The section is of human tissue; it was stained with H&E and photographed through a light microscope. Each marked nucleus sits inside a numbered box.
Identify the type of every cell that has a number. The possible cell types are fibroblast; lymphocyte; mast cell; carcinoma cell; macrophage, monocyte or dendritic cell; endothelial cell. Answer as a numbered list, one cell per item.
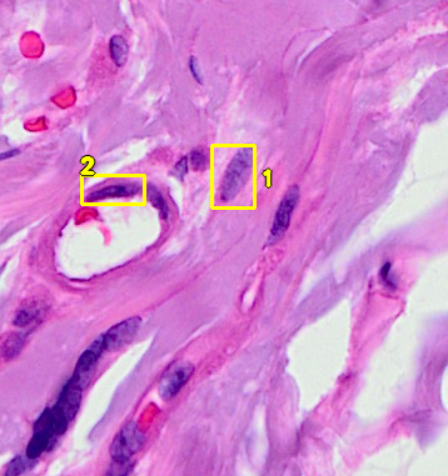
1. fibroblast
2. endothelial cell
